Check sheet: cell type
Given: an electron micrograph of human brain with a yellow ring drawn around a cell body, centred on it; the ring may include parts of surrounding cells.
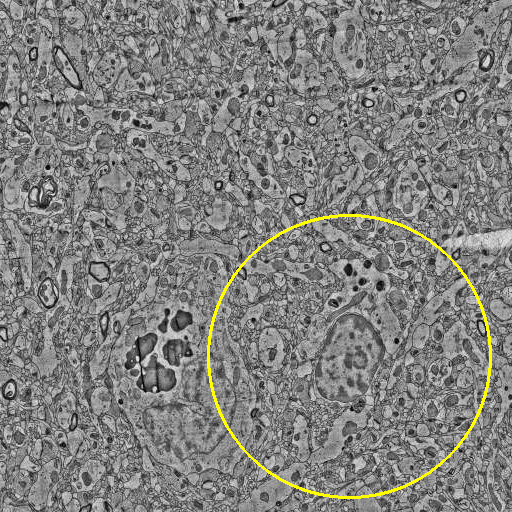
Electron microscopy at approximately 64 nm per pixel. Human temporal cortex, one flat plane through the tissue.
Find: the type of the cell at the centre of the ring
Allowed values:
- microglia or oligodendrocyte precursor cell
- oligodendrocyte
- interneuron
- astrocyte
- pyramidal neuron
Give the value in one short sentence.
Here the ringed cell is a microglial cell or oligodendrocyte precursor cell.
